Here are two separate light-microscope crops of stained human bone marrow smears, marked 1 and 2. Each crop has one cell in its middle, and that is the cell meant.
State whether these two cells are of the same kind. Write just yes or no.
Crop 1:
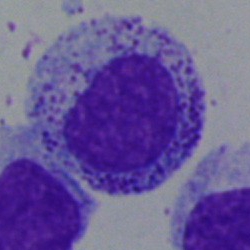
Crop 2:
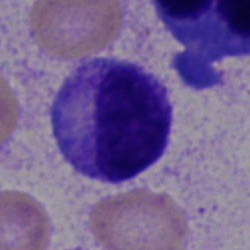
yes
